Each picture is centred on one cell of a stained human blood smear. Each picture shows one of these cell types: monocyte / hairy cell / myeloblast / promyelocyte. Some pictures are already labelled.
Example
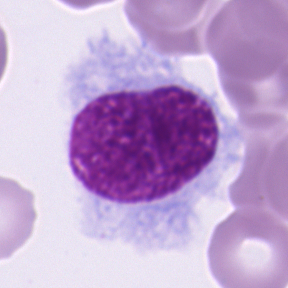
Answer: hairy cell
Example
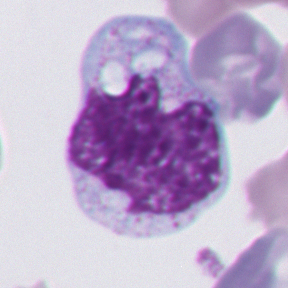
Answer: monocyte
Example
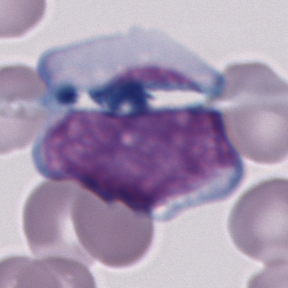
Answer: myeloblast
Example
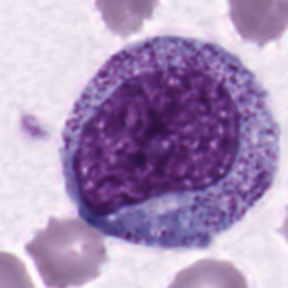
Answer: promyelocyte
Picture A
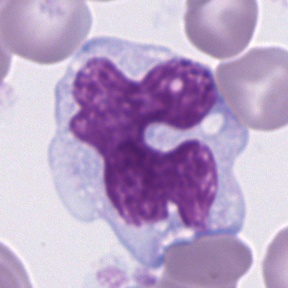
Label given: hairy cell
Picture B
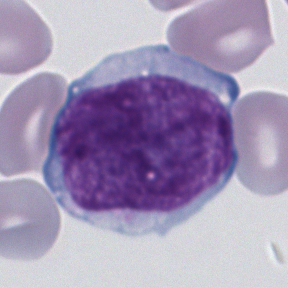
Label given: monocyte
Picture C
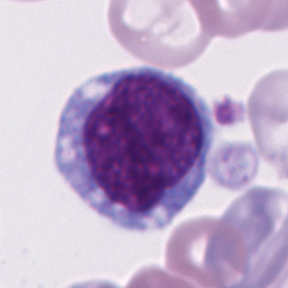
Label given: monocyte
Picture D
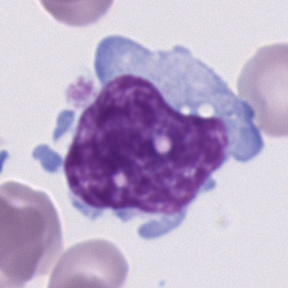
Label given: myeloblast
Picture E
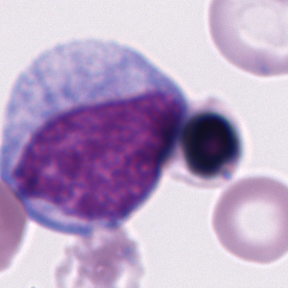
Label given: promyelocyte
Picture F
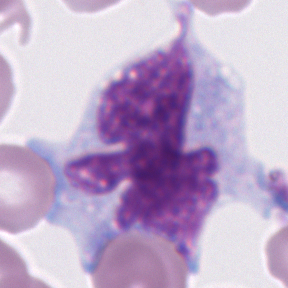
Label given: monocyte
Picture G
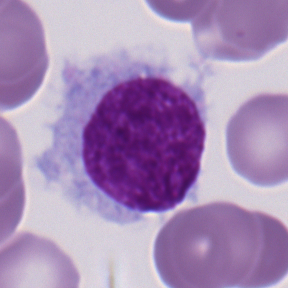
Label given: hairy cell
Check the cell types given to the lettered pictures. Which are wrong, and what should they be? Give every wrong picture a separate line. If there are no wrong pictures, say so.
A is labelled hairy cell; correct label: monocyte
B is labelled monocyte; correct label: myeloblast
